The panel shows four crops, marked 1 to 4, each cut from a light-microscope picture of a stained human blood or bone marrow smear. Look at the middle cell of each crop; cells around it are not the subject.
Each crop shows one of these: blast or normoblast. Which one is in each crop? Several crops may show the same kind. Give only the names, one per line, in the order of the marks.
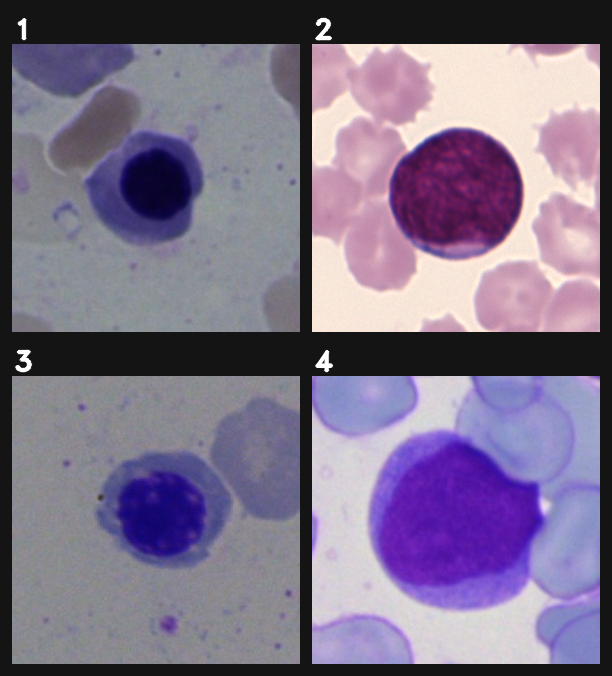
normoblast
blast
normoblast
blast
